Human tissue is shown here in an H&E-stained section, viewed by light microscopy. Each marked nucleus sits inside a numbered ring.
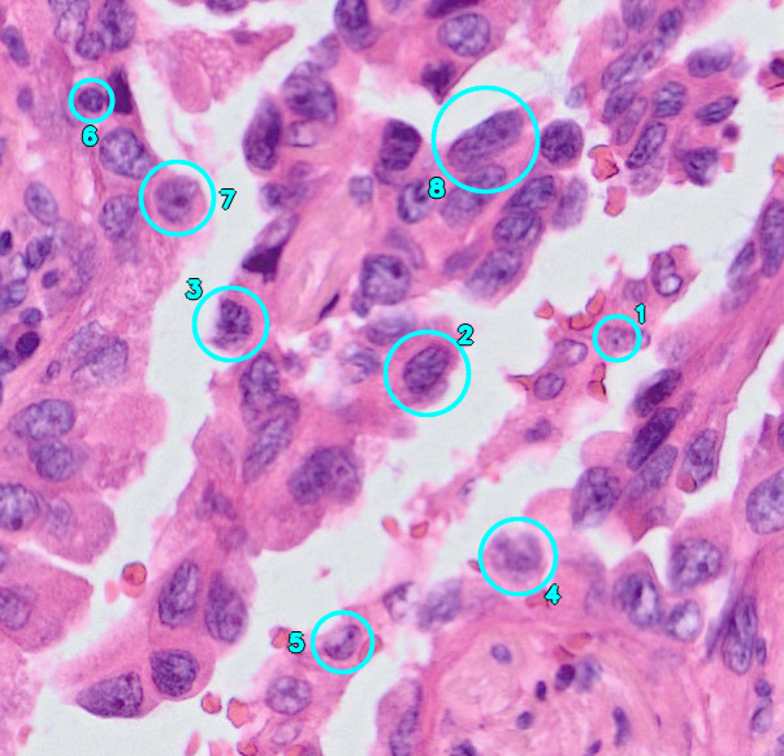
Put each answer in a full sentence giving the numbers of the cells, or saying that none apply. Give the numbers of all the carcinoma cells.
By cell type, the cells numbered 2, 3, 4, 7 and 8 are carcinoma cells.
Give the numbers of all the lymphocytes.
Of all the numbered cells, only cell 6 is a lymphocyte.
